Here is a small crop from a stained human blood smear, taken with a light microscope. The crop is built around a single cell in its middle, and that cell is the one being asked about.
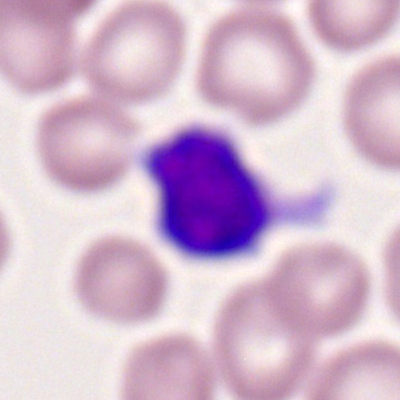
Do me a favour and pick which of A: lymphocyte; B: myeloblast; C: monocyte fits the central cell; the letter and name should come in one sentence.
Option A is correct, and the cell in the centre is a lymphocyte.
